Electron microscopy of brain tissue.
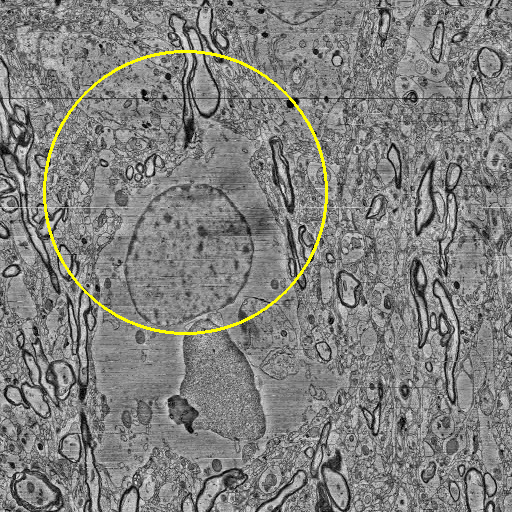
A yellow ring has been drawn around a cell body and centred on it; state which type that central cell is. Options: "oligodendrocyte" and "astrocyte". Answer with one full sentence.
The cell at the middle of the yellow ring is an astrocyte in this picture.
